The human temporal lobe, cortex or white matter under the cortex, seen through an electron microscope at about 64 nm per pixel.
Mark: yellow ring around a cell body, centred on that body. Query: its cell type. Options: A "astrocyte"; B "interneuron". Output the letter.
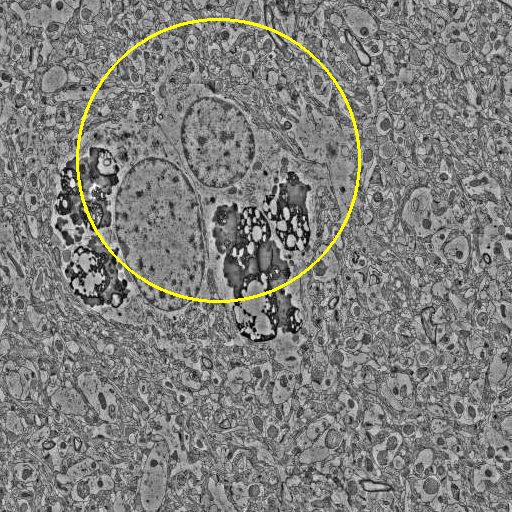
A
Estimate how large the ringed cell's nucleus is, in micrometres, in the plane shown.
In this plane, about 6 micrometres in length and 4 in width.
